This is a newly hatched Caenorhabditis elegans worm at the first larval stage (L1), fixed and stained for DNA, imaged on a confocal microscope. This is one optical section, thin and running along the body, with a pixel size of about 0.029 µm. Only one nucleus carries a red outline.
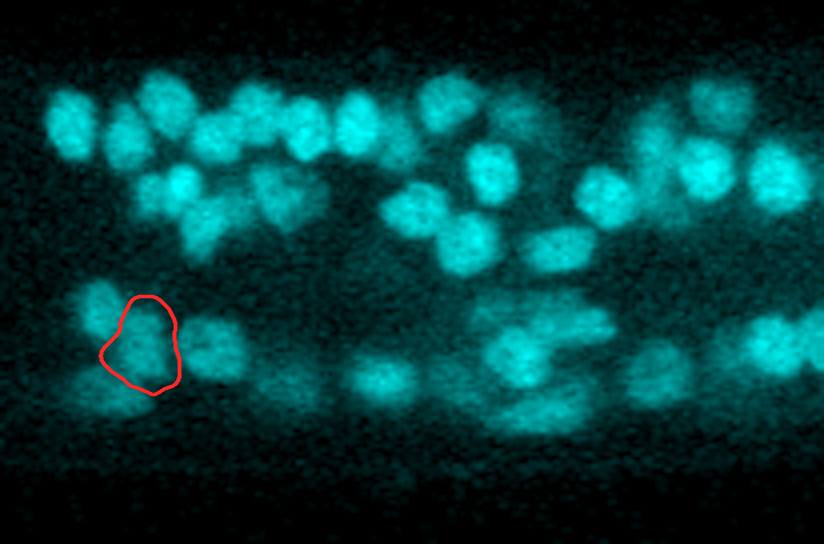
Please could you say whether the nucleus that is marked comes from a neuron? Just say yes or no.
no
